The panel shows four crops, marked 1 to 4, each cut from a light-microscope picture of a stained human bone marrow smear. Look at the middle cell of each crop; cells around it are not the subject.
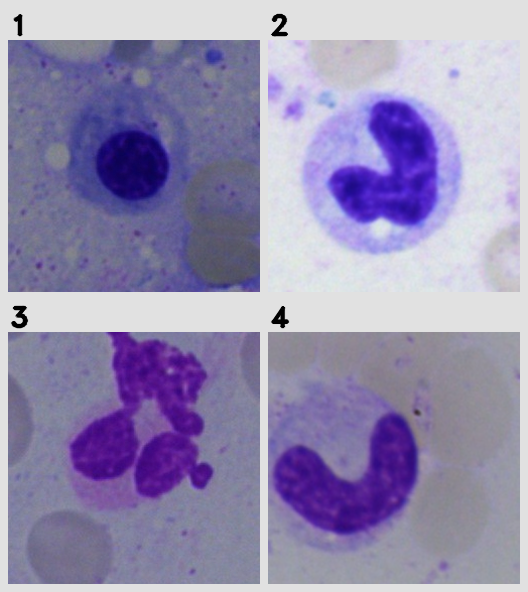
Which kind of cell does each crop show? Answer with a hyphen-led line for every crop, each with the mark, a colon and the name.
- 1: erythroblast
- 2: band neutrophil
- 3: segmented neutrophil
- 4: band neutrophil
